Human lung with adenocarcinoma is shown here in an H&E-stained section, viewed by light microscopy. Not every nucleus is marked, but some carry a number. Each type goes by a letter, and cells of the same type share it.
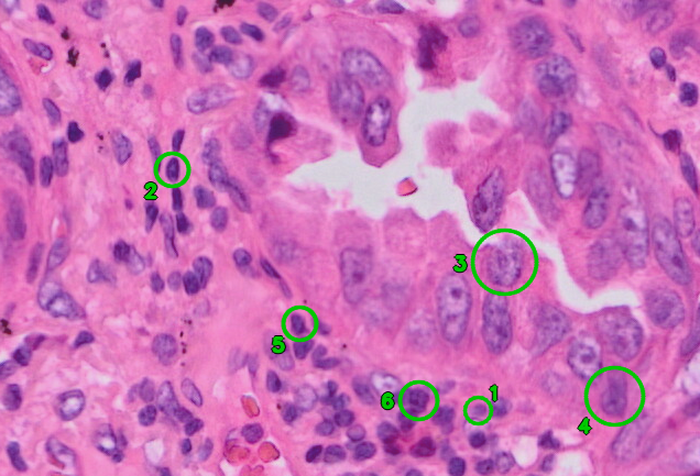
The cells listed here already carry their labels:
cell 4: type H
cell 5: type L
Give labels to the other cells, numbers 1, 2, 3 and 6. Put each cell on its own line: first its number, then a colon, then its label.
1: type L
2: type L
3: type H
6: type L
